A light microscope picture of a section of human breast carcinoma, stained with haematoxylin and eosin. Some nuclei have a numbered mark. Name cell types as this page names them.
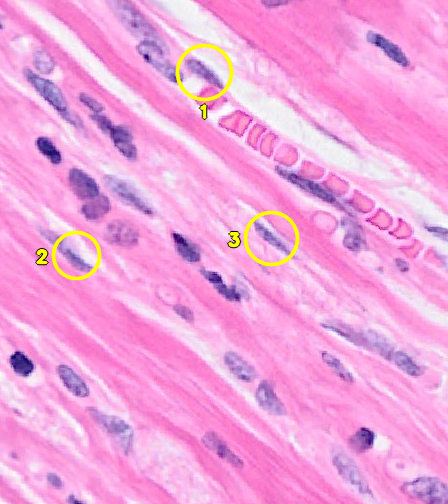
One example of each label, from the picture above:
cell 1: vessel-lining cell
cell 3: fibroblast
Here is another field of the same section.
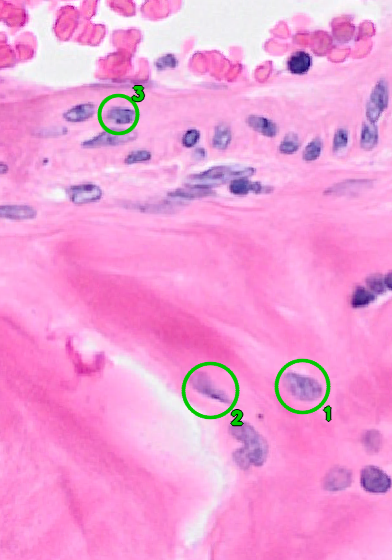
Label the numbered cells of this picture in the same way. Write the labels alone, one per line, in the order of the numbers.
fibroblast
fibroblast
vessel-lining cell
